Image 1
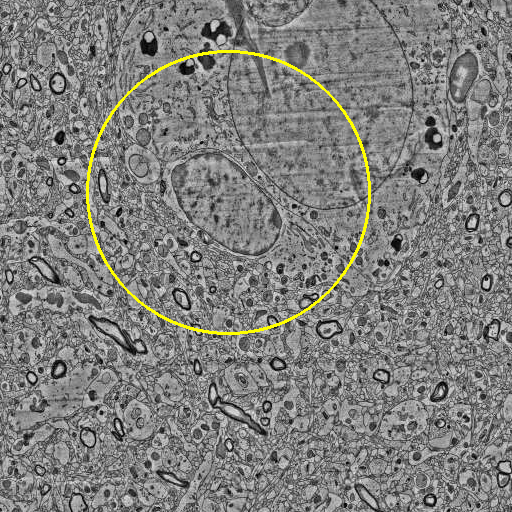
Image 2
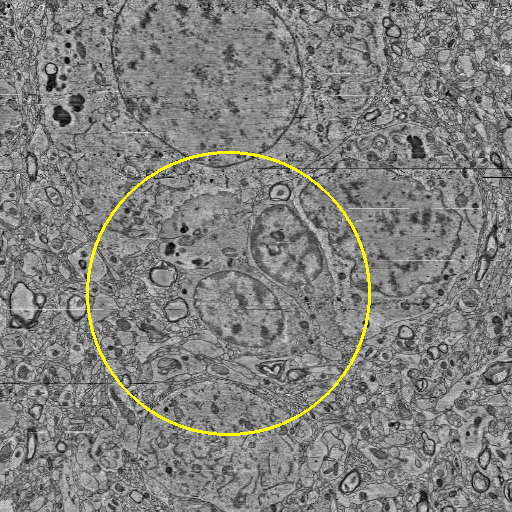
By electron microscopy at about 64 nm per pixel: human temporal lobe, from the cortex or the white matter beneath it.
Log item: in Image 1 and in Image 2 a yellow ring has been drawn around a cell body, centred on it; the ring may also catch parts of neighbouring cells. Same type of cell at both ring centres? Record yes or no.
no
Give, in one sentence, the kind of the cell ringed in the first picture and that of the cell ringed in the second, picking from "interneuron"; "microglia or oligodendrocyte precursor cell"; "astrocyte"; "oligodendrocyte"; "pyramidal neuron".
For the first picture it is a microglial cell or oligodendrocyte precursor cell; for the second, an oligodendrocyte.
